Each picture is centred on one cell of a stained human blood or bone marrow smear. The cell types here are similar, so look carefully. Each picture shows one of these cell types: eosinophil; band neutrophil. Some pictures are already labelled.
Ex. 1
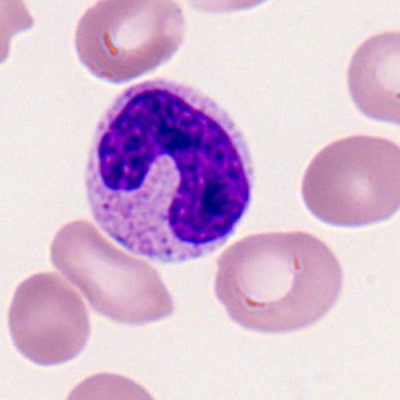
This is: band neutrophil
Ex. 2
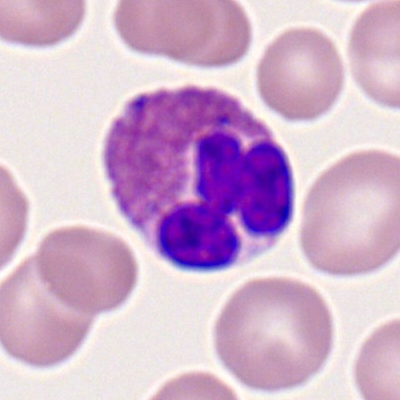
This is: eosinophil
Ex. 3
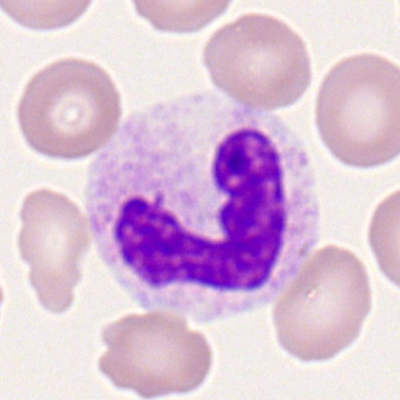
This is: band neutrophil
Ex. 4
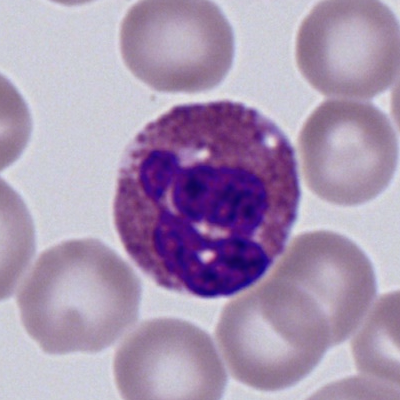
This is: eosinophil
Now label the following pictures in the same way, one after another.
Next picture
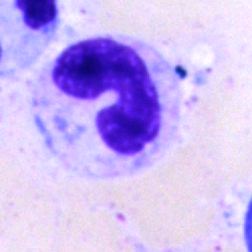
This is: band neutrophil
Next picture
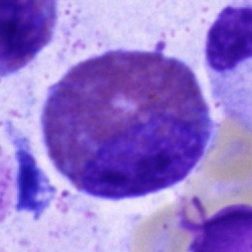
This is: eosinophil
